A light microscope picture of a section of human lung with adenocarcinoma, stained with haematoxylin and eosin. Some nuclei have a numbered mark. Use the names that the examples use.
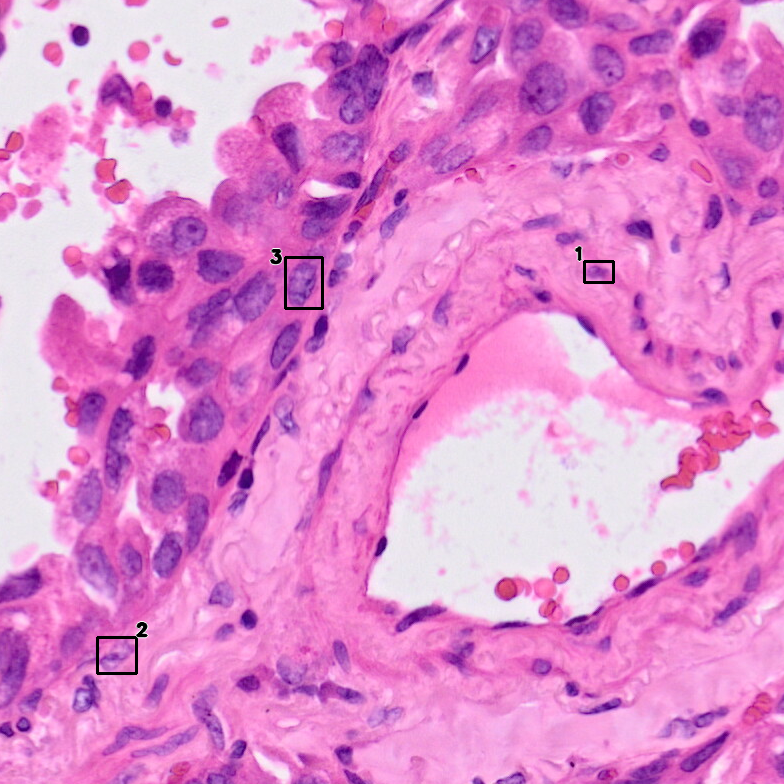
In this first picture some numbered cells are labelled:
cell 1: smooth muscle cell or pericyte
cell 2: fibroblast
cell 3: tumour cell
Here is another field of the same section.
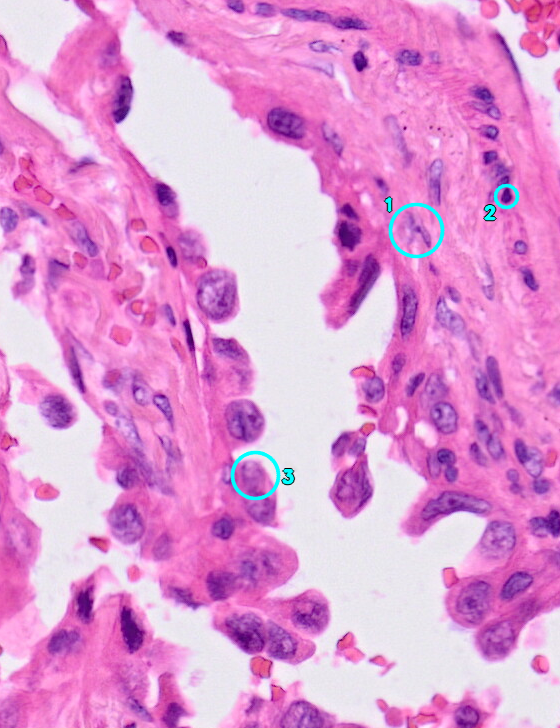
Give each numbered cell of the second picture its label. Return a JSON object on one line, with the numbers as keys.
{"1": "fibroblast", "2": "smooth muscle cell or pericyte", "3": "tumour cell"}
